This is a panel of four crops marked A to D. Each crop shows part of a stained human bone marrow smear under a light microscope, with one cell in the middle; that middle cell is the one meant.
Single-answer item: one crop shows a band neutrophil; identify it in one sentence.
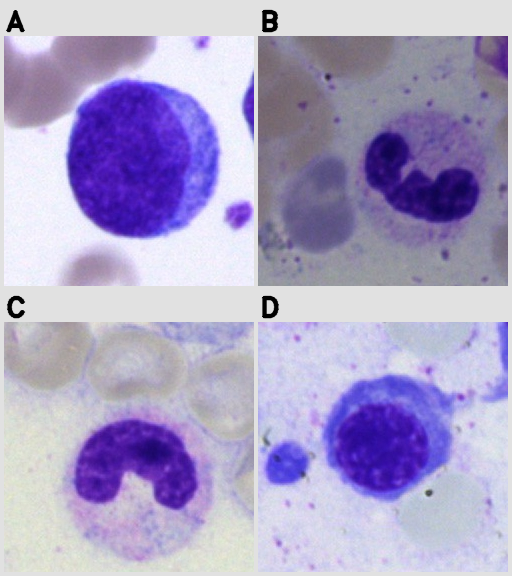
Crop C represents a band neutrophil, while the other crops do not.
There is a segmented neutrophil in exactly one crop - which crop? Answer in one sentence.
The requested cell, a segmented neutrophil, is the one in crop B.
